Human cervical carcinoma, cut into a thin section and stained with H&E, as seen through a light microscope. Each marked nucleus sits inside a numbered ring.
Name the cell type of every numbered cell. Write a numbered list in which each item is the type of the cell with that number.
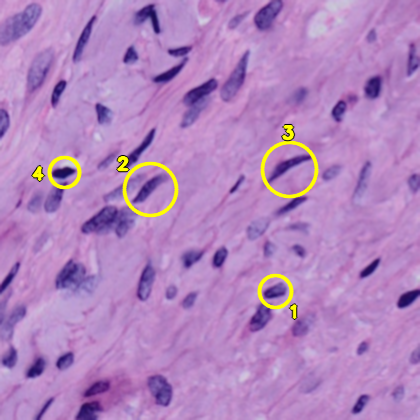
1. lymphocyte
2. fibroblast
3. fibroblast
4. lymphocyte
